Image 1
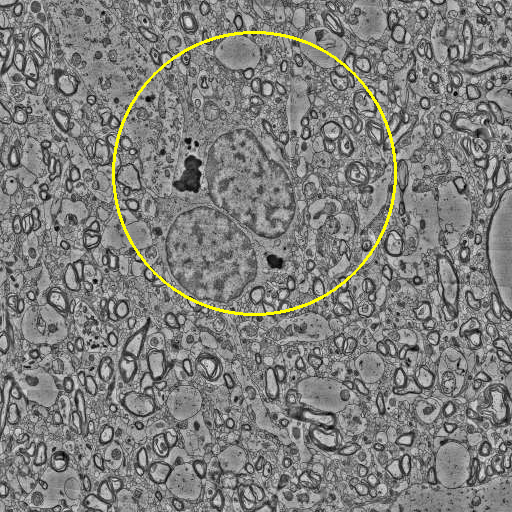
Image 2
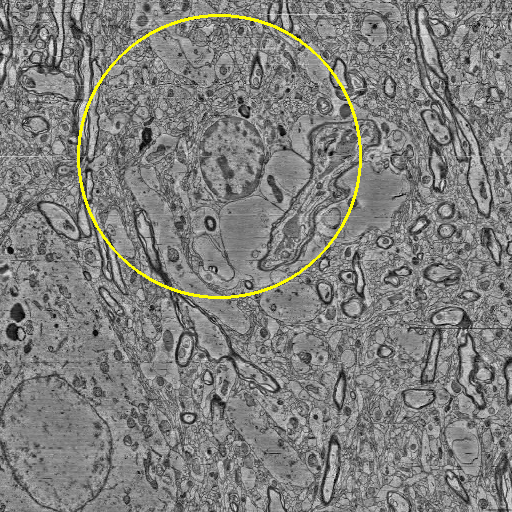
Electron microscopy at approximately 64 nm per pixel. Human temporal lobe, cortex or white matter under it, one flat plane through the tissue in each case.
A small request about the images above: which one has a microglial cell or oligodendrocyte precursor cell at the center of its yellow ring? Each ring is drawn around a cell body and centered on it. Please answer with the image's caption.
Image 2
